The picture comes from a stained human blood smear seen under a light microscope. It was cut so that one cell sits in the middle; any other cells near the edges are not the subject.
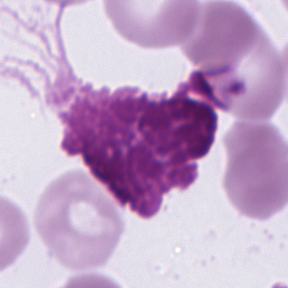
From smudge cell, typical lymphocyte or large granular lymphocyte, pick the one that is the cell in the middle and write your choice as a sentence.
Whatever else lies nearby, the middle cell is a smudge cell.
